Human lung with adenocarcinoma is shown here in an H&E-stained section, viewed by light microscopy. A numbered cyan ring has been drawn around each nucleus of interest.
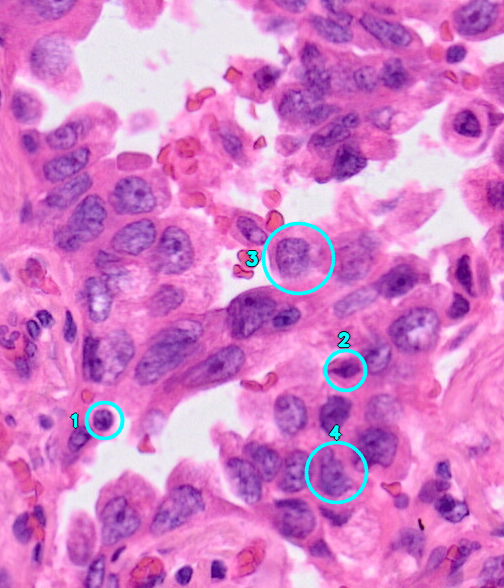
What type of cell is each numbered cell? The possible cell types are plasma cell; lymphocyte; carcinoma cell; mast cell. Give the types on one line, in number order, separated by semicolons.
lymphocyte; carcinoma cell; carcinoma cell; carcinoma cell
